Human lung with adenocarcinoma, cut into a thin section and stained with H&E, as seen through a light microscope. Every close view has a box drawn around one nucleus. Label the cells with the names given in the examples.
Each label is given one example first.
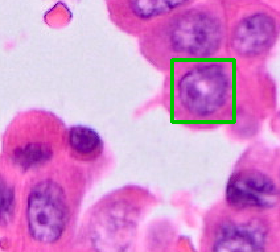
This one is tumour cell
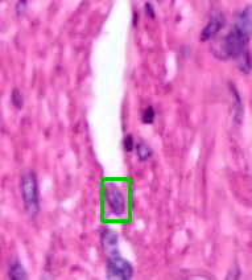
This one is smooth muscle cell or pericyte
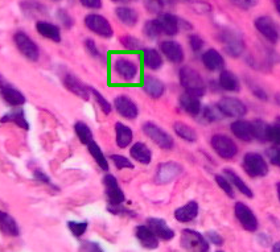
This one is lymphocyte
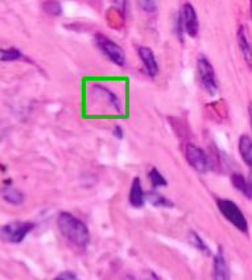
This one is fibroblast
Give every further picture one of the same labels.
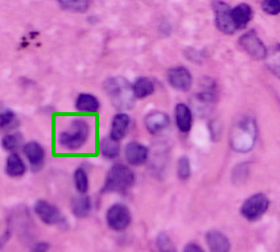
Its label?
lymphocyte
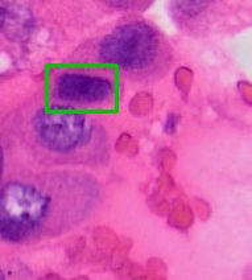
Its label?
tumour cell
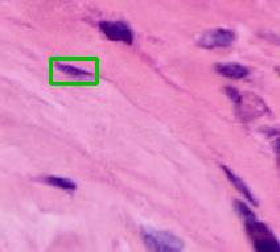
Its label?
fibroblast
